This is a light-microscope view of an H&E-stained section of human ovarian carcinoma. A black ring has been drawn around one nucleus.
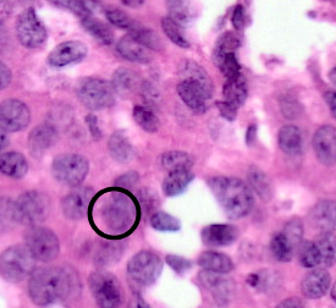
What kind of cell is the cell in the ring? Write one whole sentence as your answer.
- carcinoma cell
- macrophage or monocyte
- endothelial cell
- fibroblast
In cellular terms, the cell in the ring is a carcinoma cell.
